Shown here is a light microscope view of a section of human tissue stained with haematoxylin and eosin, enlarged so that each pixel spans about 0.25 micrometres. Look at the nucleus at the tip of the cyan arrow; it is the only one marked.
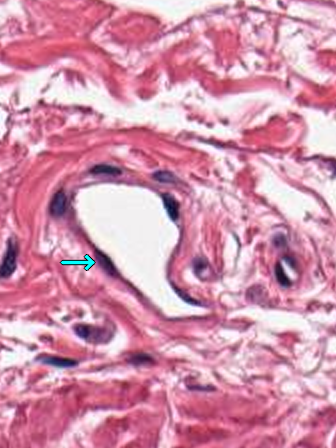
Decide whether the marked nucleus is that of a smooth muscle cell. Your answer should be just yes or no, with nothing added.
no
